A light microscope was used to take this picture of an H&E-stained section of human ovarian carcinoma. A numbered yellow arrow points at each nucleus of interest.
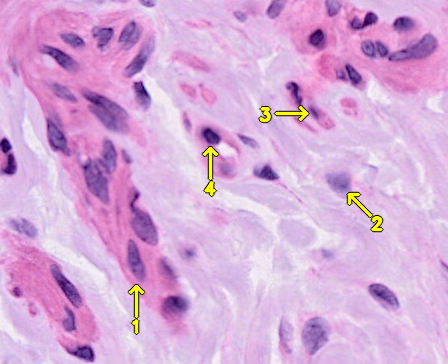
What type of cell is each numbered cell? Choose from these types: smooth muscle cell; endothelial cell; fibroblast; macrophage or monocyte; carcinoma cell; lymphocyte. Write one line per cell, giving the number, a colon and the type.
1: smooth muscle cell
2: fibroblast
3: smooth muscle cell
4: endothelial cell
